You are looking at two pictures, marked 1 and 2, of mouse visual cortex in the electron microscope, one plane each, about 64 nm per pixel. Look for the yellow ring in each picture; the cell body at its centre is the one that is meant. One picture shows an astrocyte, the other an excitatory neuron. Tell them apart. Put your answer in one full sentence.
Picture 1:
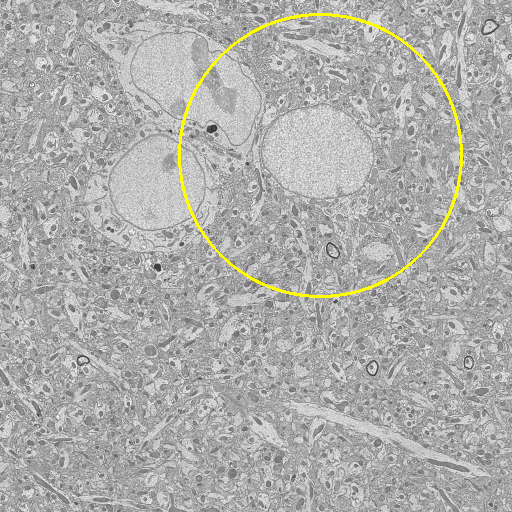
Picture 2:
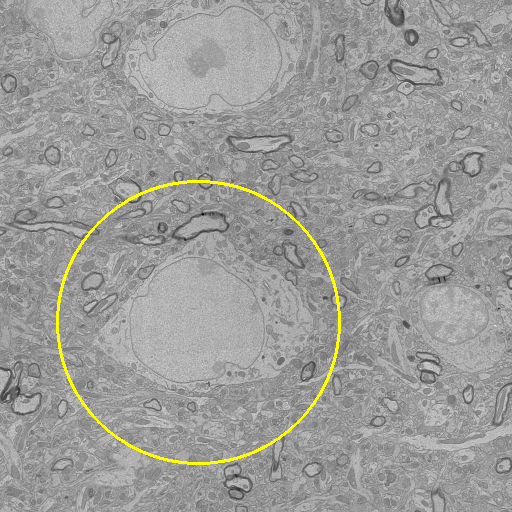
Picture 1 shows an astrocyte and picture 2 shows an excitatory neuron.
